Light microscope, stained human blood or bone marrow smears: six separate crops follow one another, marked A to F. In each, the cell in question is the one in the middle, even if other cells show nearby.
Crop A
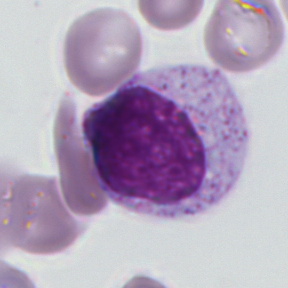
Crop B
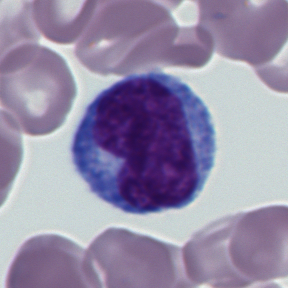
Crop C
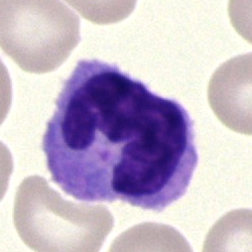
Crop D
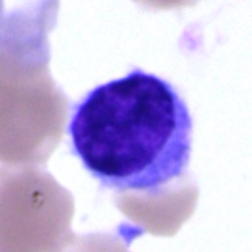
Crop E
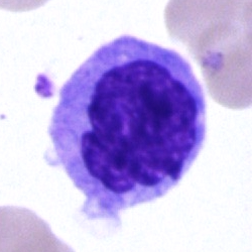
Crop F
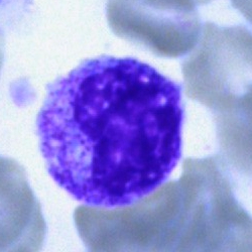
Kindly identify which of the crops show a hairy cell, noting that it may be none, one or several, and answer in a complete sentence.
In crop D, and in no other crop, the central cell is a hairy cell.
